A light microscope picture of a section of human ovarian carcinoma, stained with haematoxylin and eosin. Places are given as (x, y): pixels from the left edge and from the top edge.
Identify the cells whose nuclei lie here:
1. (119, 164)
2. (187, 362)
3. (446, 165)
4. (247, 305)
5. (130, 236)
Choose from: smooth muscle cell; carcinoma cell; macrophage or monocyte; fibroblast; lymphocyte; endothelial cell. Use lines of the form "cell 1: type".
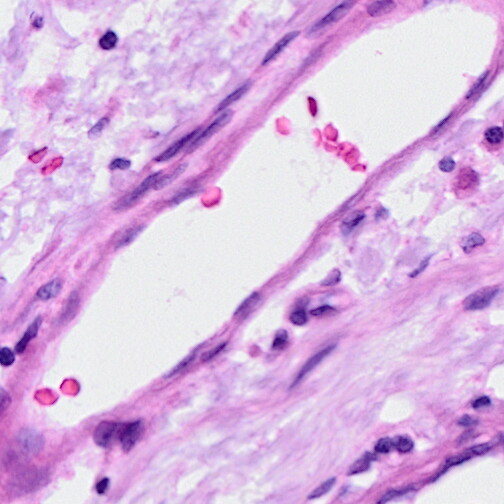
cell 1: lymphocyte
cell 2: endothelial cell
cell 3: lymphocyte
cell 4: endothelial cell
cell 5: endothelial cell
